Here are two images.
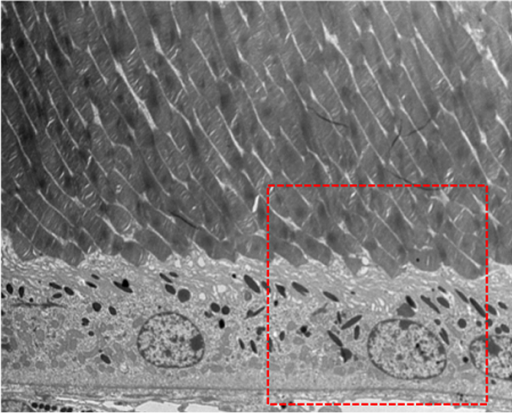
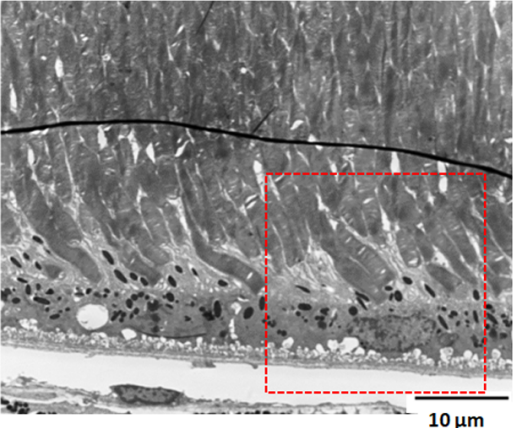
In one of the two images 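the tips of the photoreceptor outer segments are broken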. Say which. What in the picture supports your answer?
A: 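The second image. First image: the outer segments are long, regular and run in orderly parallel rows down to the epithelium. Second image: the outer segments near the epithelium are disorganised, with gaps and fragmented ends.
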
